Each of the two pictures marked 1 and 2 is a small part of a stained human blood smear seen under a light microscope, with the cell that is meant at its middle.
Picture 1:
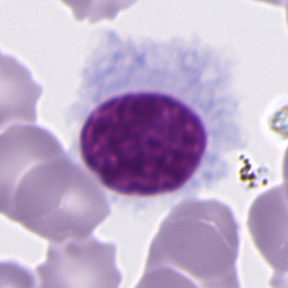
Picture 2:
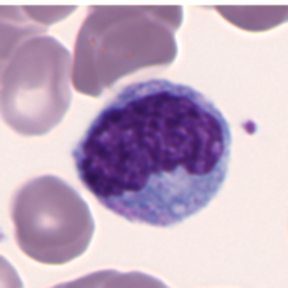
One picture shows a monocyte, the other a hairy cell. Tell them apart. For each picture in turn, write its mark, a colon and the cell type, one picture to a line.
1: hairy cell
2: monocyte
